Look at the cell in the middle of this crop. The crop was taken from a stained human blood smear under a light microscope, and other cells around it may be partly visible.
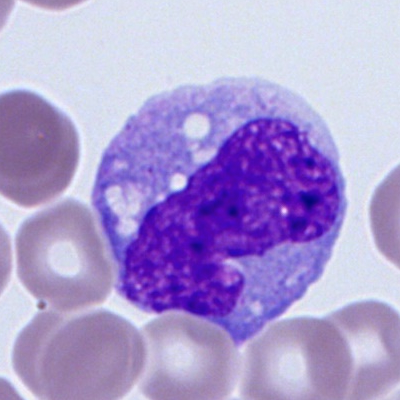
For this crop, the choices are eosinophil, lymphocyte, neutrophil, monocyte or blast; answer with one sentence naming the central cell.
The cell in the middle of this crop is a monocyte.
